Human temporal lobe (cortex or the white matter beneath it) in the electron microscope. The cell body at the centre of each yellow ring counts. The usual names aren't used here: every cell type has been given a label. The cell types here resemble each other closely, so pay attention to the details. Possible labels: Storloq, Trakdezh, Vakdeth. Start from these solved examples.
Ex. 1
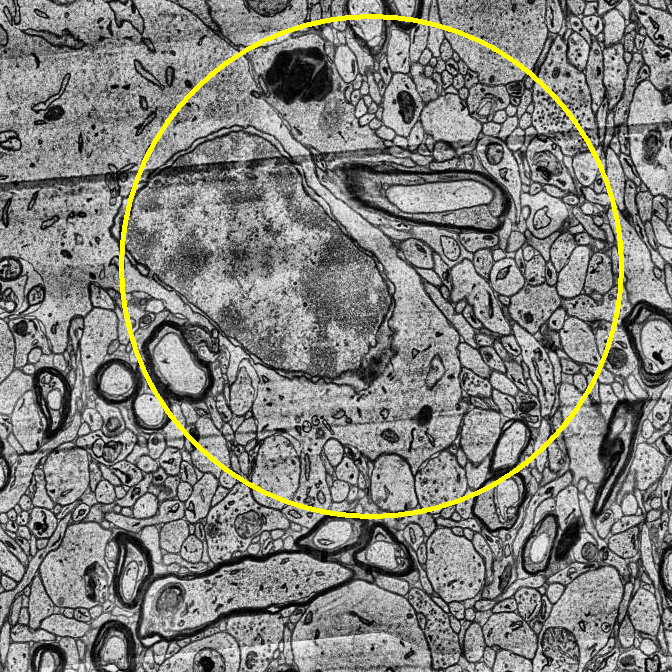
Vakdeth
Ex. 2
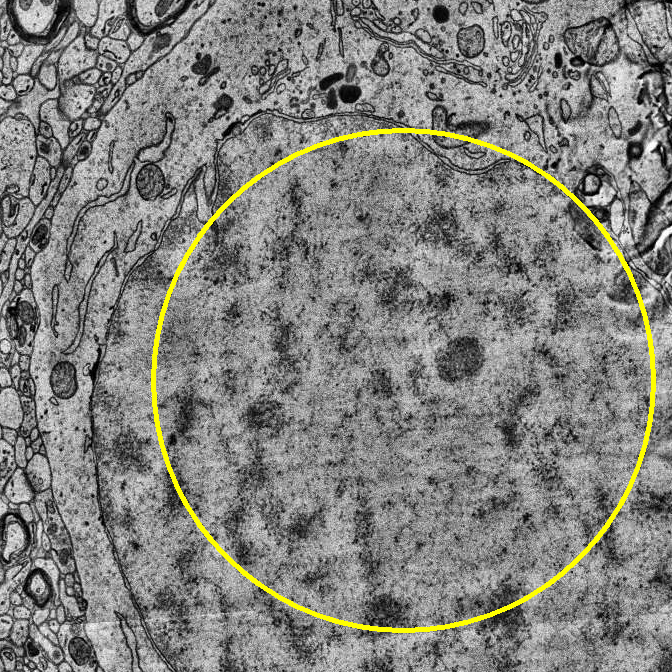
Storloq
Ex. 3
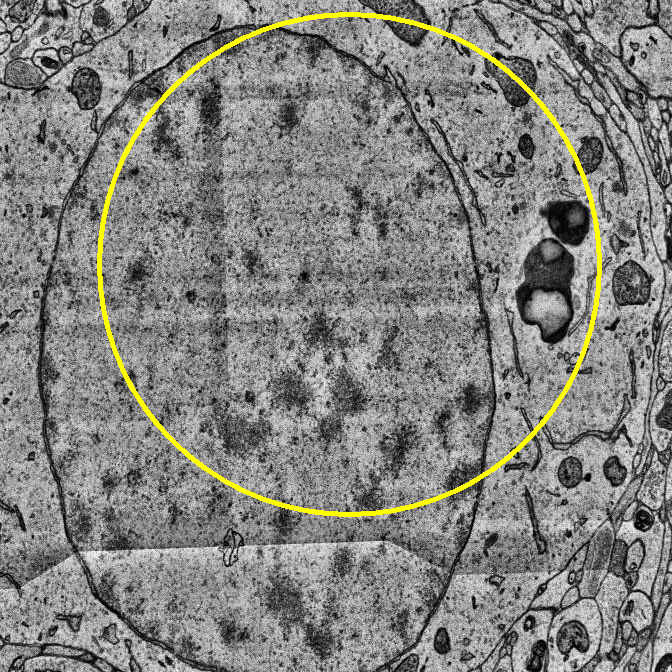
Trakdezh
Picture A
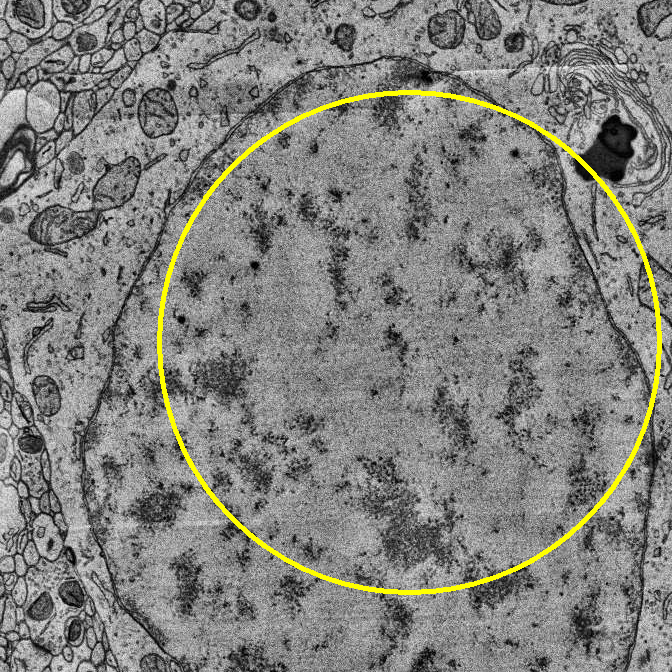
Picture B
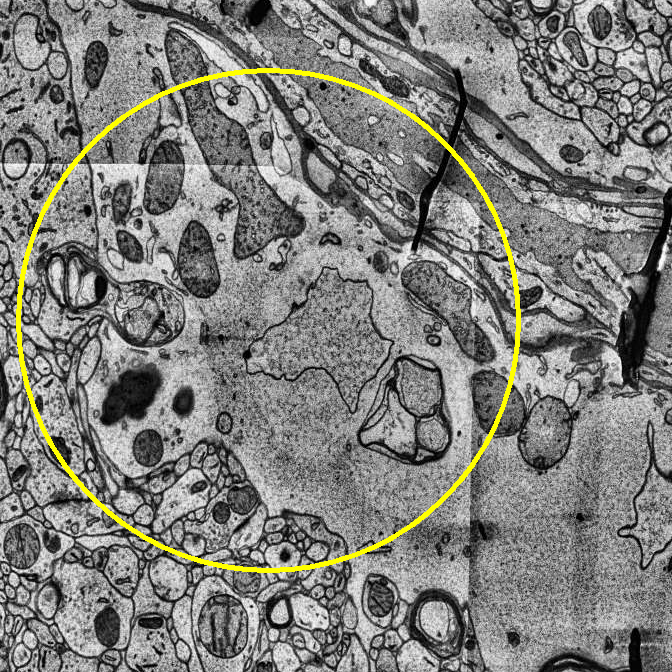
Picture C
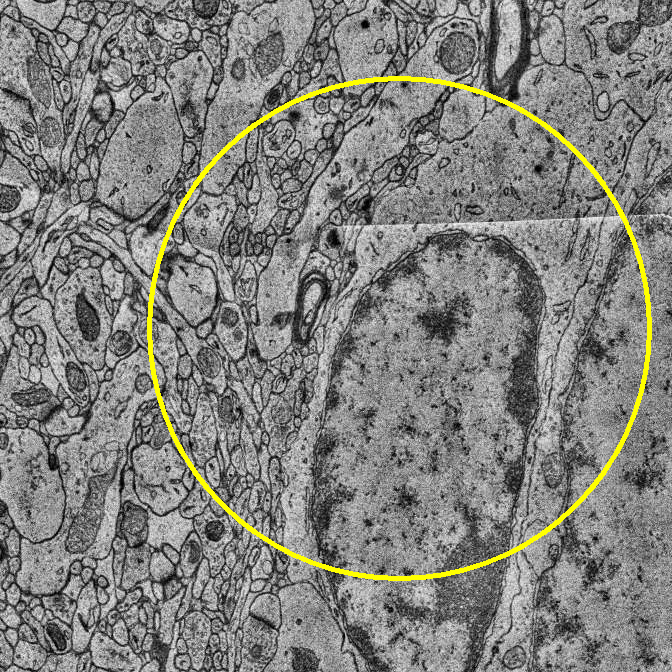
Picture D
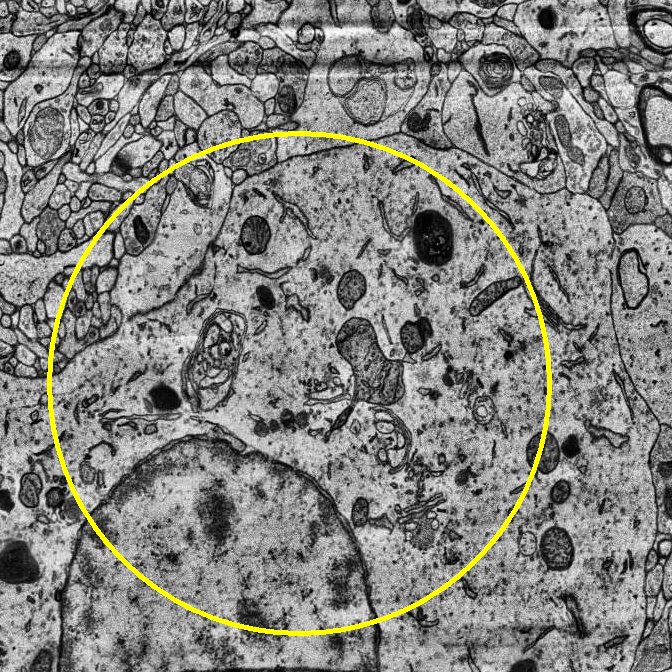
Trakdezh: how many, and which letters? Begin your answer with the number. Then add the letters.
Count: 2 (A, D)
